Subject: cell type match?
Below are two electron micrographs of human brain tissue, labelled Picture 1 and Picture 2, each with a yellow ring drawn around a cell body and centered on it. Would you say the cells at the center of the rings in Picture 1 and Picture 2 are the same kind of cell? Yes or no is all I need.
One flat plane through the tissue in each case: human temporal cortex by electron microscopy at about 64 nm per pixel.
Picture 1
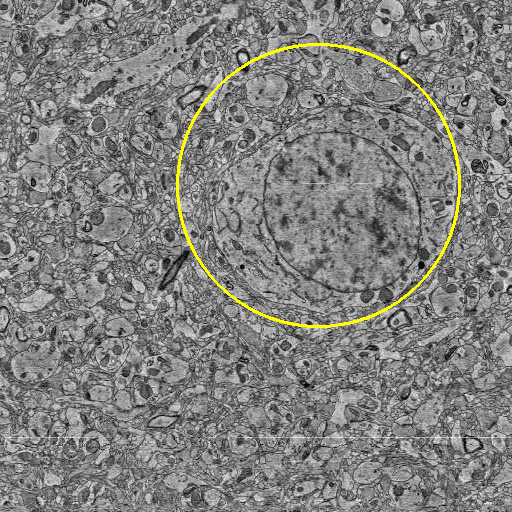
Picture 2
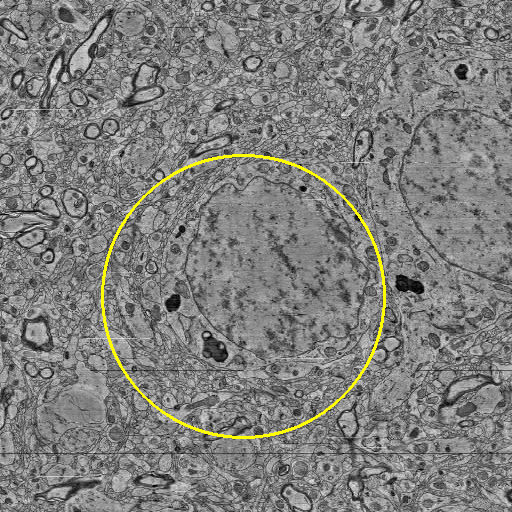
yes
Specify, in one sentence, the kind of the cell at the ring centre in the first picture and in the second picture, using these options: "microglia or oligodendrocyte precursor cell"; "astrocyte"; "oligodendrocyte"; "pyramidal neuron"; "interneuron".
Each cell, in the first picture and the second, is a pyramidal neuron.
